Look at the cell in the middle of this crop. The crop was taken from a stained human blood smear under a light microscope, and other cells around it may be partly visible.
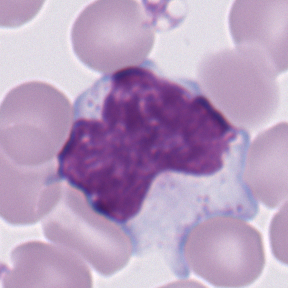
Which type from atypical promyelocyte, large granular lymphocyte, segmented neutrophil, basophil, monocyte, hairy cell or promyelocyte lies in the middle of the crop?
large granular lymphocyte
